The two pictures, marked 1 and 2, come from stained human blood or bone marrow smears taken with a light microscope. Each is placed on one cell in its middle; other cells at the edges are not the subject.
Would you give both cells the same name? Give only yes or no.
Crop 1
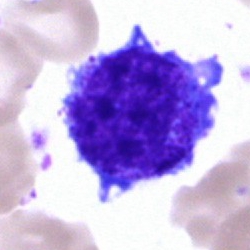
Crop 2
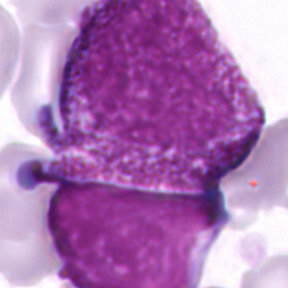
yes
